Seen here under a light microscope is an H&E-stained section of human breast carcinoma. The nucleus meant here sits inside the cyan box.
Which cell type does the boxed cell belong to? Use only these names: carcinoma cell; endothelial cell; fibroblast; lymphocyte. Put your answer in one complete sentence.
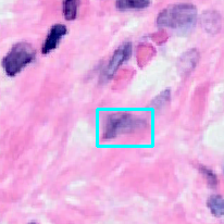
Among the cells in this section, the boxed cell is an endothelial cell.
